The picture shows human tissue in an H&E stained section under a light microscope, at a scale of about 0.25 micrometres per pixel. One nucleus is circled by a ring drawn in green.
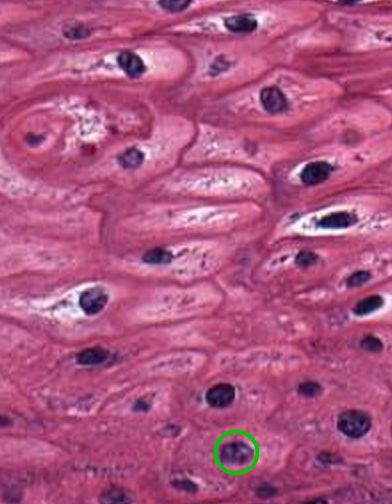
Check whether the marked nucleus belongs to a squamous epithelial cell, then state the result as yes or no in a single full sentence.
Yes, the marked nucleus is identified as that of a squamous epithelial cell.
